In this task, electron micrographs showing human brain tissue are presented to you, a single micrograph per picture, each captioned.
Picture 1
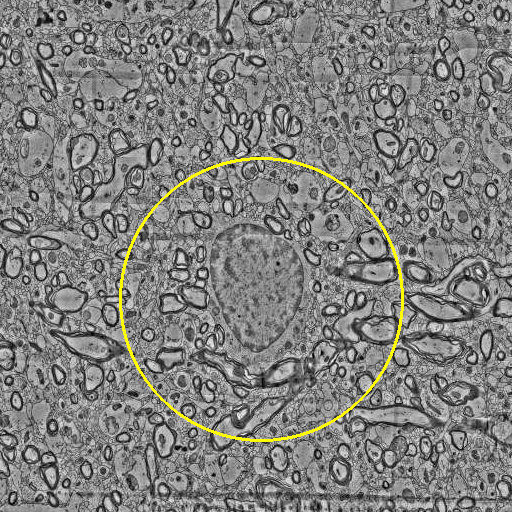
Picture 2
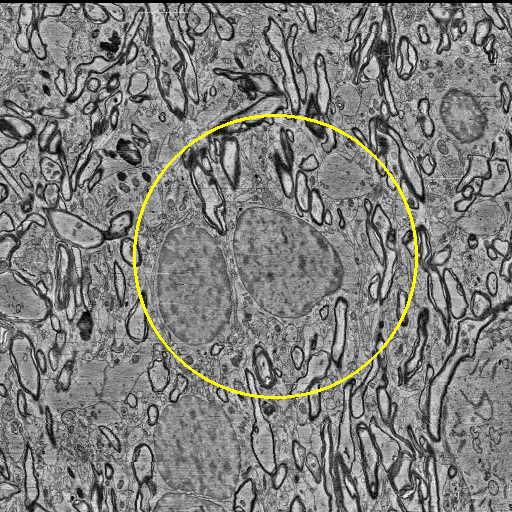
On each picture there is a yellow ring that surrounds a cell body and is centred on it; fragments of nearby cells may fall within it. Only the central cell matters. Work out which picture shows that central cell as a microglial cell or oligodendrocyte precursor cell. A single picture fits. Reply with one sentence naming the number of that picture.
Of all the pictures, number 2 has the right cell in the centre of its ring.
